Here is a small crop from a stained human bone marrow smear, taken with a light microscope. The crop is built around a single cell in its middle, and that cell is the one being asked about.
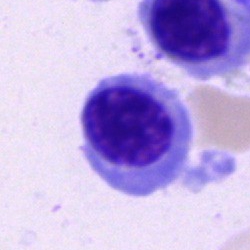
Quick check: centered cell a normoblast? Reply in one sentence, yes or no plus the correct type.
Yes, the centrally placed cell is a normoblast.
